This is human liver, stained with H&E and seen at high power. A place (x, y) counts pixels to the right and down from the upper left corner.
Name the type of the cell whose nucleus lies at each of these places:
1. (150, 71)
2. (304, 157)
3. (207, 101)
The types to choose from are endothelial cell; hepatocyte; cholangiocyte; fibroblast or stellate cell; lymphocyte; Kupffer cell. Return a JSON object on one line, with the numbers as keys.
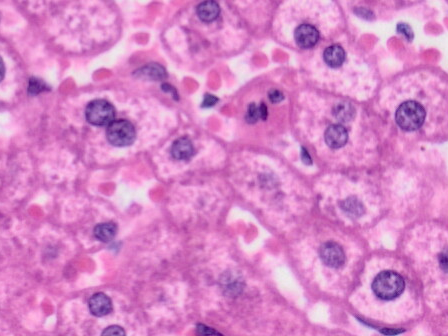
{"1": "Kupffer cell", "2": "endothelial cell", "3": "lymphocyte"}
